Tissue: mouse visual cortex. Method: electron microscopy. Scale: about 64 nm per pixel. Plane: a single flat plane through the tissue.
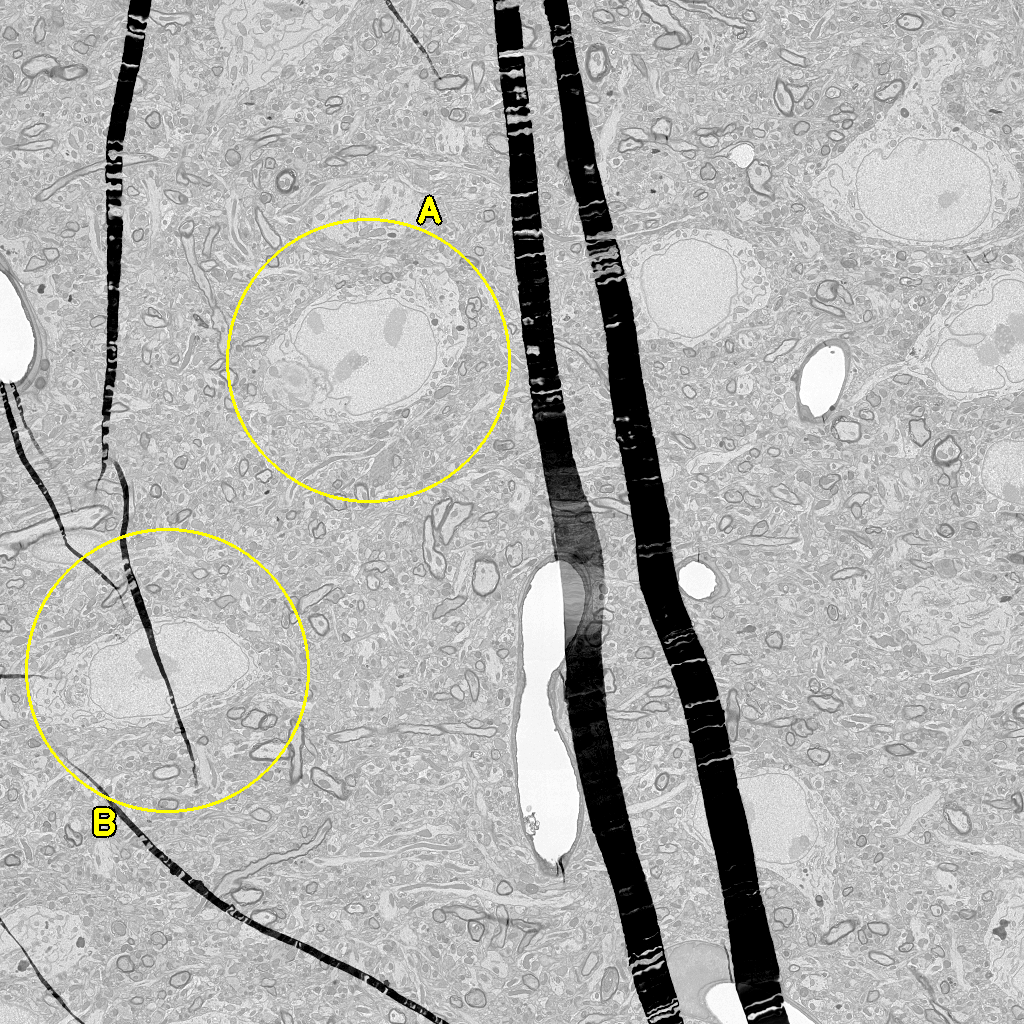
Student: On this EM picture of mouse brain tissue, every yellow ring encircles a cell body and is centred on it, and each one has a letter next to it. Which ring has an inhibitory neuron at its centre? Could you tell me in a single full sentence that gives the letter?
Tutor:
Ring B is the one drawn around the cell you are asking about.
